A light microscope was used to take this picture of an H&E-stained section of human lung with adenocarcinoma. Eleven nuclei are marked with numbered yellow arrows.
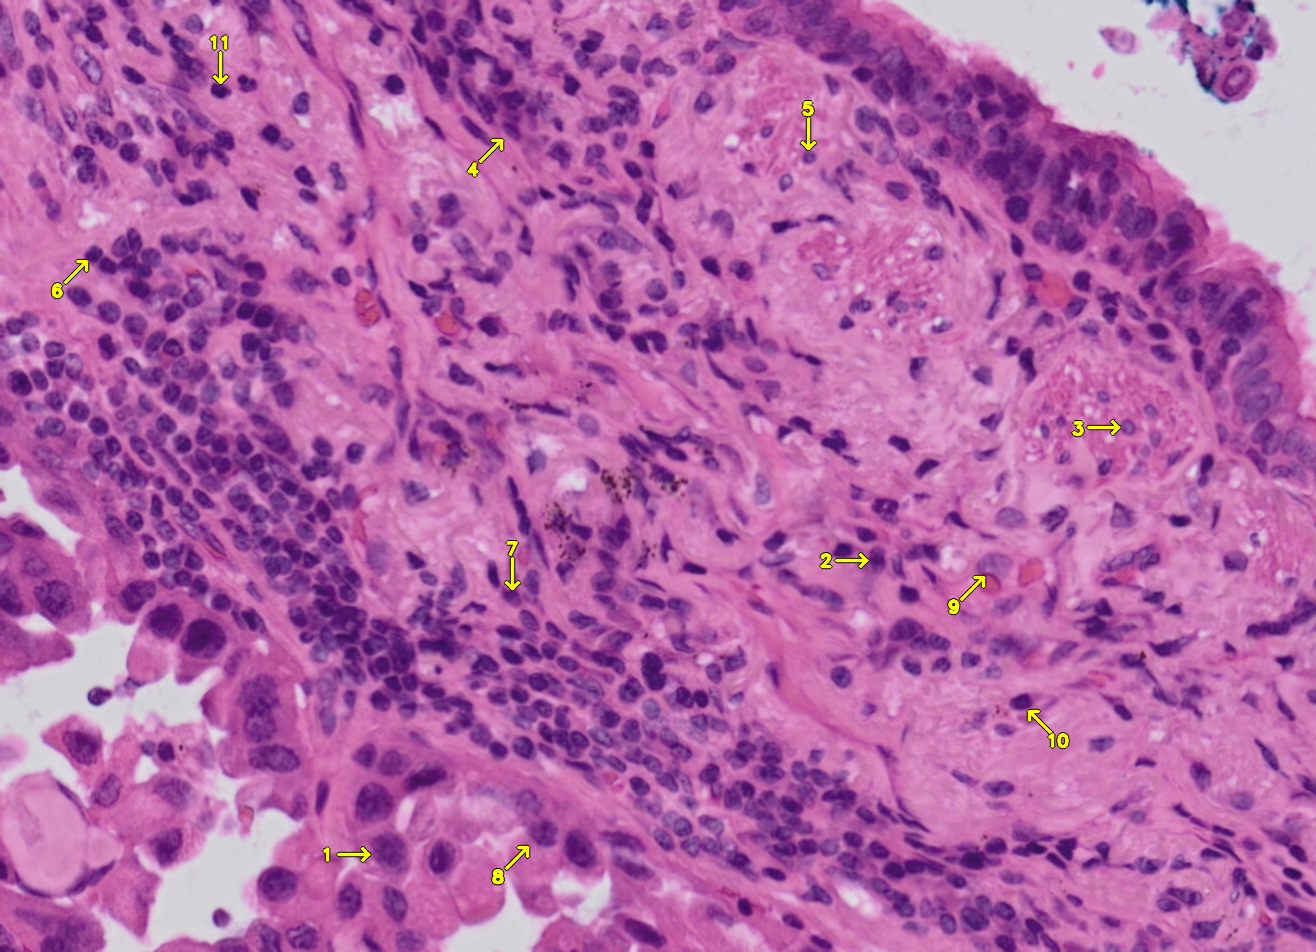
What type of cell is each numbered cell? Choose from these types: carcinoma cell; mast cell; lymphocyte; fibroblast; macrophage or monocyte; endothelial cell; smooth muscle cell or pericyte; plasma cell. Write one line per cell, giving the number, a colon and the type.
1: carcinoma cell
2: plasma cell
3: smooth muscle cell or pericyte
4: plasma cell
5: smooth muscle cell or pericyte
6: lymphocyte
7: plasma cell
8: carcinoma cell
9: endothelial cell
10: plasma cell
11: lymphocyte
